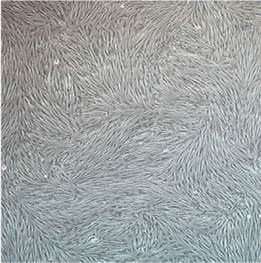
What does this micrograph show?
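The cells are long, slender and spindle-shaped, resembling fibroblasts. They are packed tightly, covering the whole surface without gaps. Neighbouring cells align with one another, forming parallel streams and swirling, whorl-like patterns across the field.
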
